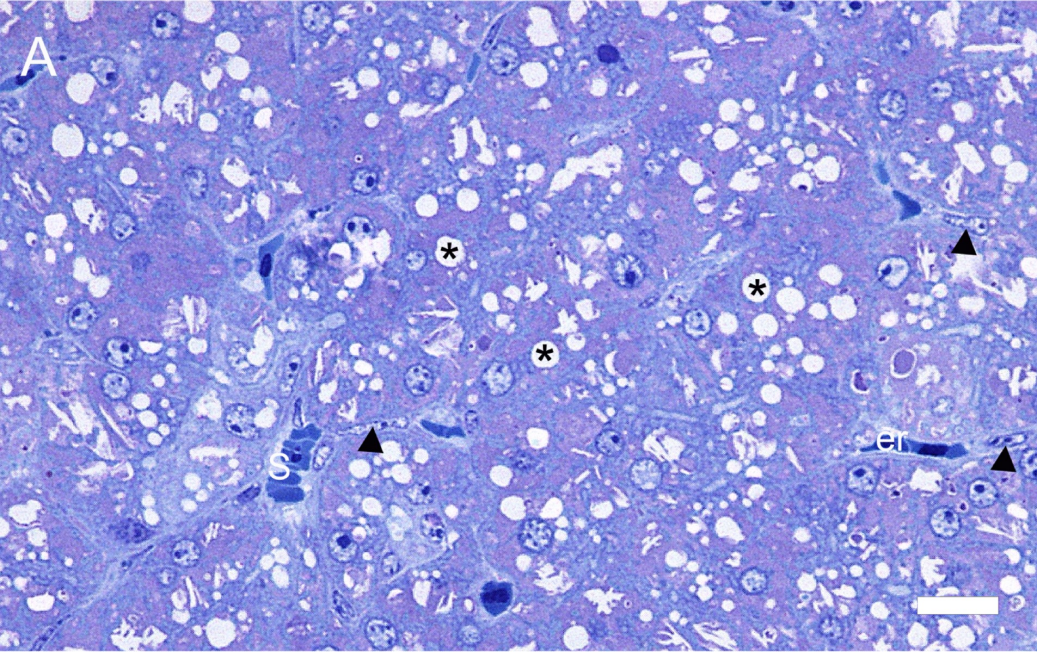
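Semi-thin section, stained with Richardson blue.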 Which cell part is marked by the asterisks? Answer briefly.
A: Lipid droplets.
